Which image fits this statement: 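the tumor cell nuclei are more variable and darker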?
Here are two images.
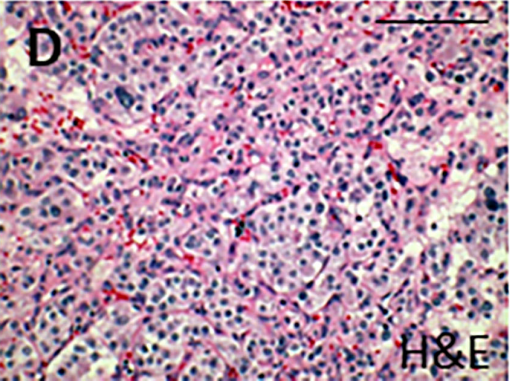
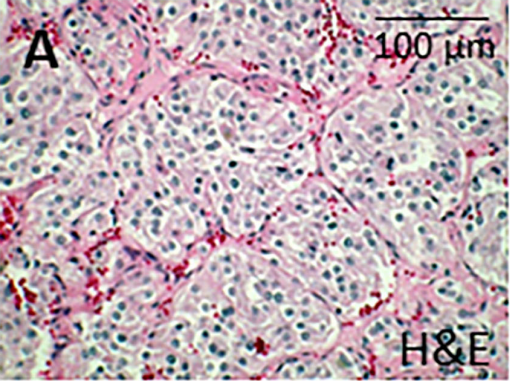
The first image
